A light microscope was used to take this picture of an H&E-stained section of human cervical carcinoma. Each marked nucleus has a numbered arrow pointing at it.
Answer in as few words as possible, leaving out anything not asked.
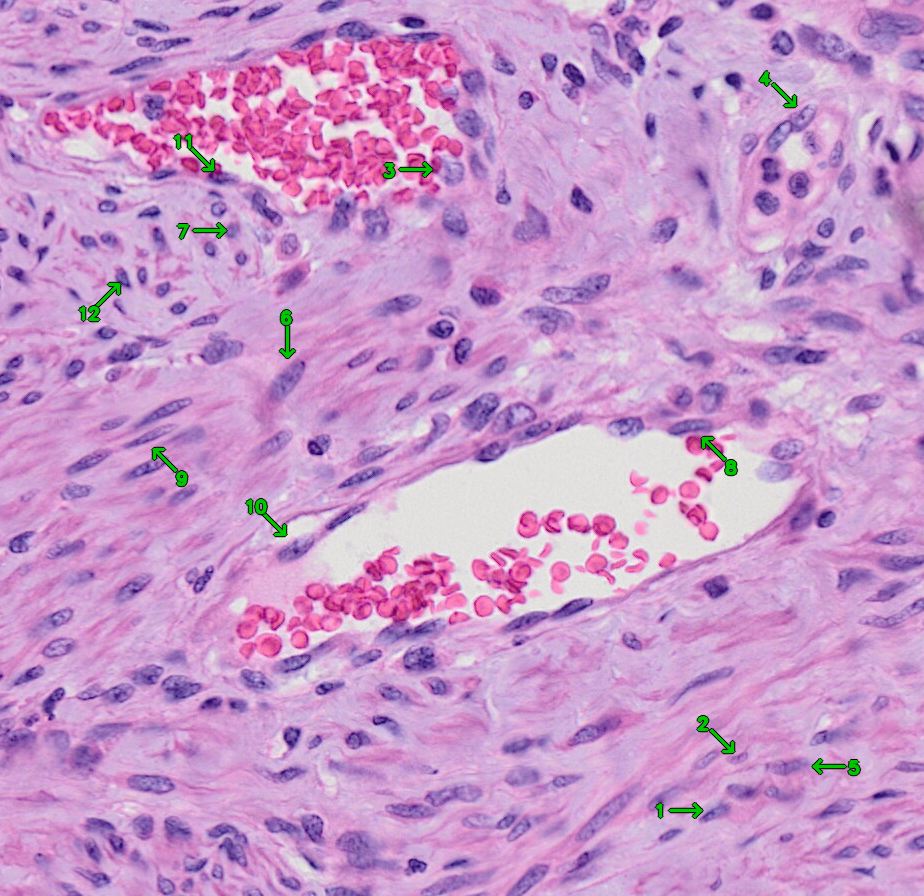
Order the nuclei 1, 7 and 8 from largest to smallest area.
8, 1, 7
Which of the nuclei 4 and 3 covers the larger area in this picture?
3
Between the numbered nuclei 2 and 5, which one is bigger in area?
5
